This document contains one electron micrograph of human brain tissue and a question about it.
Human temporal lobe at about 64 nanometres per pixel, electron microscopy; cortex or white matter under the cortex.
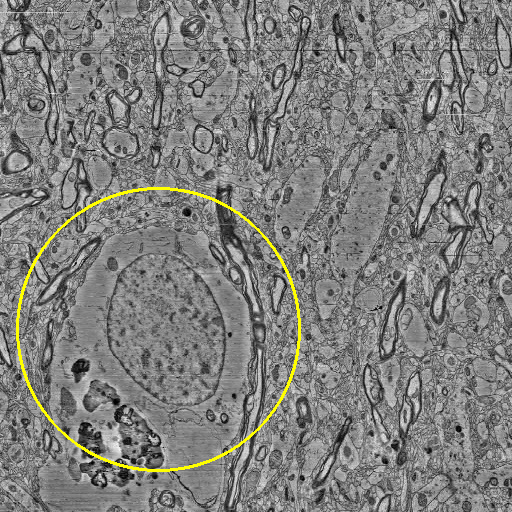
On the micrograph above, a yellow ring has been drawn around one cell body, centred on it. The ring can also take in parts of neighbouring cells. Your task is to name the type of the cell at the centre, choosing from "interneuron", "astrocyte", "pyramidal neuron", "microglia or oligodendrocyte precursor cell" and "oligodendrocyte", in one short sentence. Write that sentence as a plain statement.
Here the ring is centred on an astrocyte.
